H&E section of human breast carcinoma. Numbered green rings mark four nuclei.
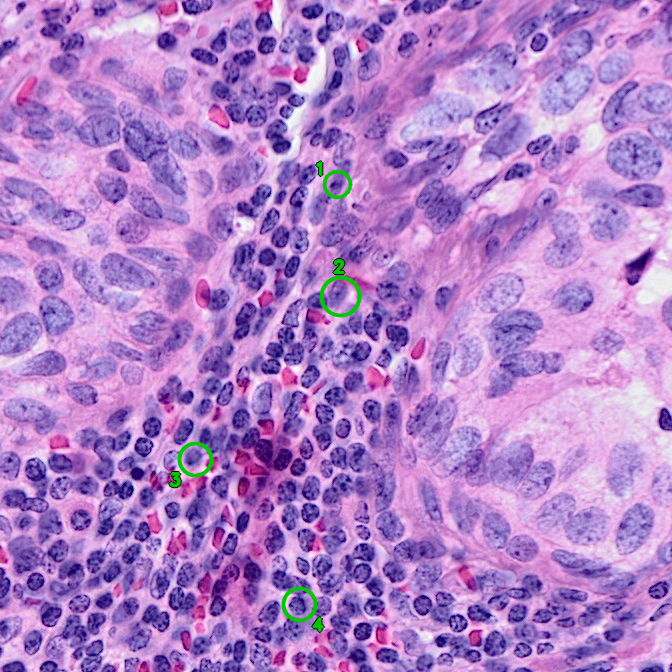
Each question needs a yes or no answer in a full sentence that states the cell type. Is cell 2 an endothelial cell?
Yes, the cell distinguished by number 2 is an endothelial cell.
